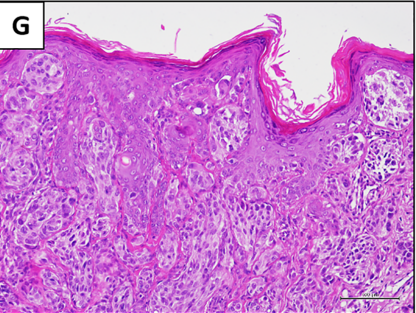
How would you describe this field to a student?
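This is skin with a melanocytic lesion whose junctional component forms confluent nests of epithelioid and spindle cells within a hyperplastic epidermis. The epidermis is thickened, with a compact pink keratin layer on top and long downgrowths into the dermis. Large nests of melanocytes crowd the base of the epidermis and merge with one another. The cells have pale to pink cytoplasm and vesicular nuclei, some plump and polygonal, others elongated. Clefts separate parts of the nests from the adjacent epidermis.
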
